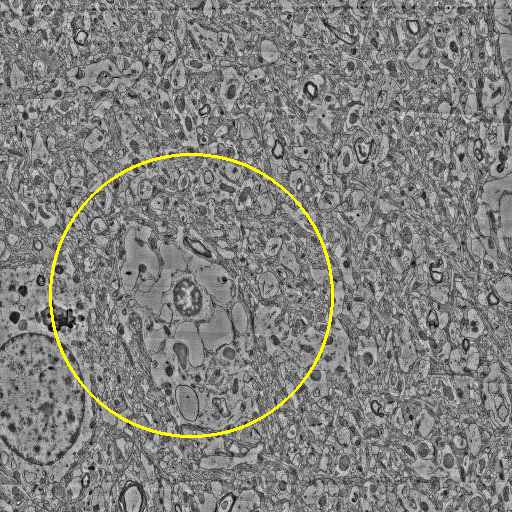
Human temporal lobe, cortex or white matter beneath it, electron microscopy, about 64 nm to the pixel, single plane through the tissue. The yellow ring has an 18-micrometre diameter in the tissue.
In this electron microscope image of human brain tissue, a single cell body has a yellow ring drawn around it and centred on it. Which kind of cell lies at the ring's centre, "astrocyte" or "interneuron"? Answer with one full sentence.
It is an astrocyte whose cell body lies at the centre of the yellow ring here.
